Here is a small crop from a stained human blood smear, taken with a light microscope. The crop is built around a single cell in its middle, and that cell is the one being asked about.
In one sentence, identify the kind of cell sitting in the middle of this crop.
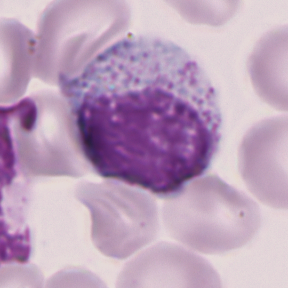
The cell shown in the center of this light-microscope crop is a metamyelocyte.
